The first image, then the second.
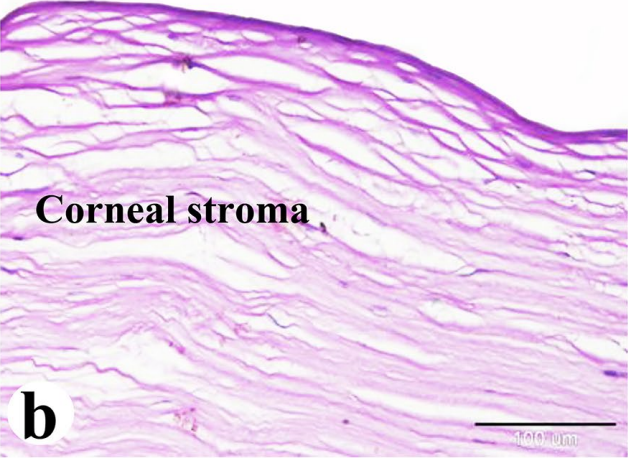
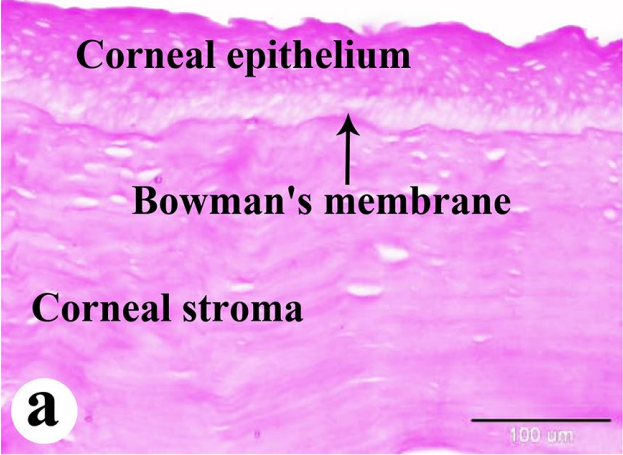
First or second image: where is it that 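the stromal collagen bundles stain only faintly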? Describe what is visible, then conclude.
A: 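The first image. First image: the stroma is pale, nearly white, with thin, widely separated pink fibre lines. Second image: the stroma is a dense, evenly deep pink.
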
